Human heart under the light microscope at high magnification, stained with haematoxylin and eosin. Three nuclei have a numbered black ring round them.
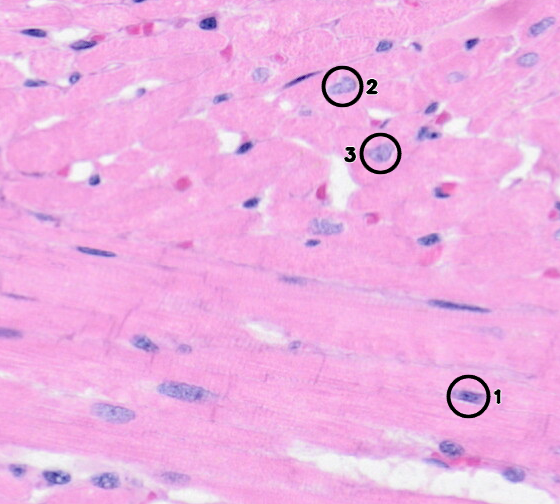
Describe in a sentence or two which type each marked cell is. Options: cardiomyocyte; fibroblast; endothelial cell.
Cell 1 is an endothelial cell. Cells 2 and 3 are cardiomyocytes.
